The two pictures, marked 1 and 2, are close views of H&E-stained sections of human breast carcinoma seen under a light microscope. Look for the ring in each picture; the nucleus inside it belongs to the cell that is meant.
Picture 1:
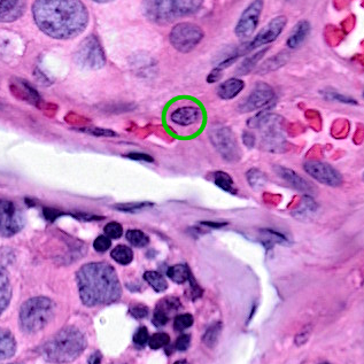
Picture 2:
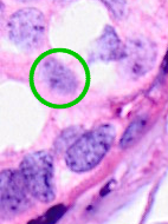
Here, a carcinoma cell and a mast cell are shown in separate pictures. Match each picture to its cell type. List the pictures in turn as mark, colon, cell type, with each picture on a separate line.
1: mast cell
2: carcinoma cell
